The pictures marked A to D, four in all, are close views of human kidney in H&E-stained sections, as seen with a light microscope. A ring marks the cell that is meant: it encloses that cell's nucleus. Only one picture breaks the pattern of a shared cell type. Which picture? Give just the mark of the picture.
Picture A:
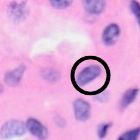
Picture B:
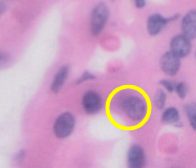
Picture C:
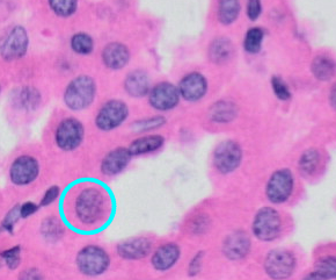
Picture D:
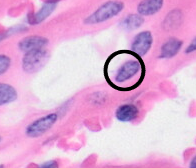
C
